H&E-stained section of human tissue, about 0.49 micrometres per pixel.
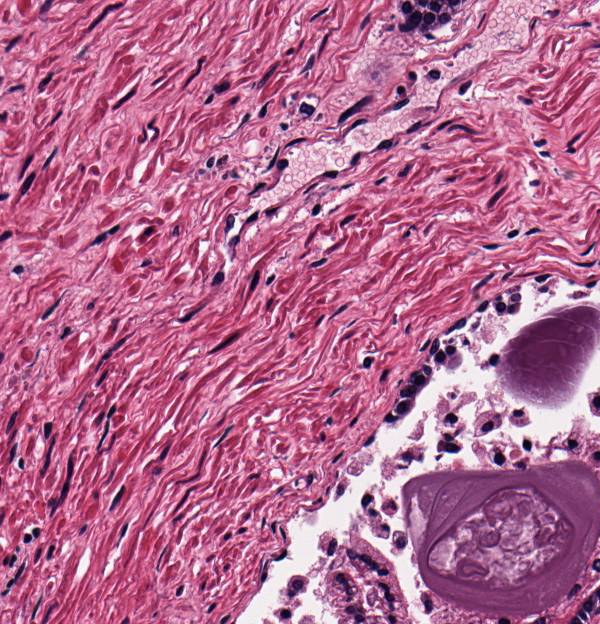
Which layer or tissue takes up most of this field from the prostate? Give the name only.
fibromuscular stroma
